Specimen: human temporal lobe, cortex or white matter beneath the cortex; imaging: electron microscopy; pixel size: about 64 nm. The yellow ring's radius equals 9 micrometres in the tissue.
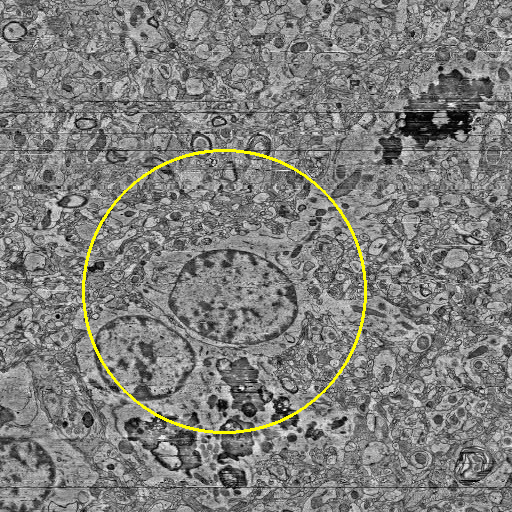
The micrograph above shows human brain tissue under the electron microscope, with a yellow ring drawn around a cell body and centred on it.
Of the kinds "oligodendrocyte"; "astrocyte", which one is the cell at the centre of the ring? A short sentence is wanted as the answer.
The one at the centre of the ring is an astrocyte.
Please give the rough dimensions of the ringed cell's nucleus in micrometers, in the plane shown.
In this plane, approximately 8 by 6 micrometers.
